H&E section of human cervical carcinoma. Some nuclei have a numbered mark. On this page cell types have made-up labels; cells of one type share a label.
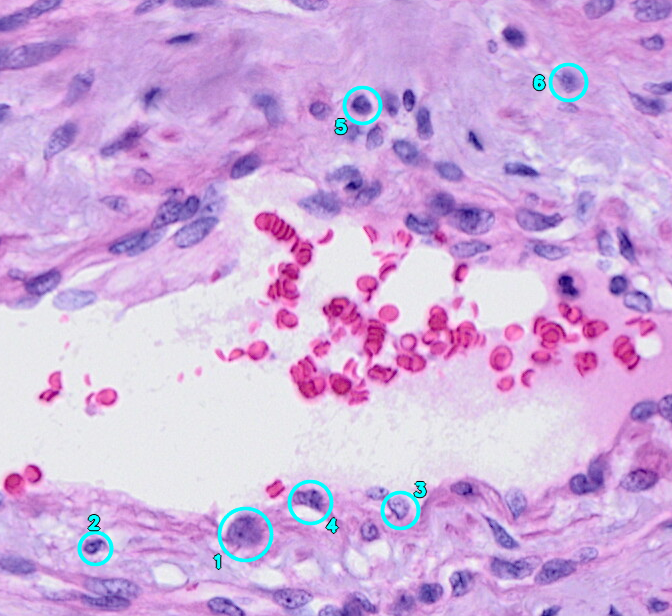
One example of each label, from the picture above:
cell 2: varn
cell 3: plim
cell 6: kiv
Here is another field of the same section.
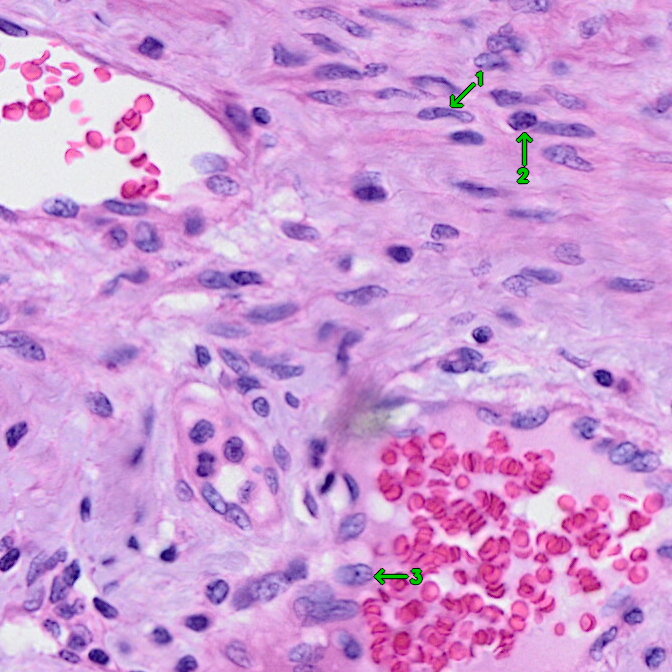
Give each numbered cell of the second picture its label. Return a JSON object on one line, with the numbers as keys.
{"1": "kiv", "2": "varn", "3": "plim"}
